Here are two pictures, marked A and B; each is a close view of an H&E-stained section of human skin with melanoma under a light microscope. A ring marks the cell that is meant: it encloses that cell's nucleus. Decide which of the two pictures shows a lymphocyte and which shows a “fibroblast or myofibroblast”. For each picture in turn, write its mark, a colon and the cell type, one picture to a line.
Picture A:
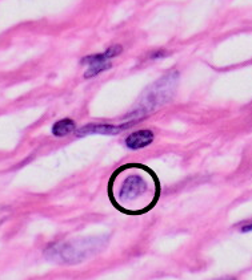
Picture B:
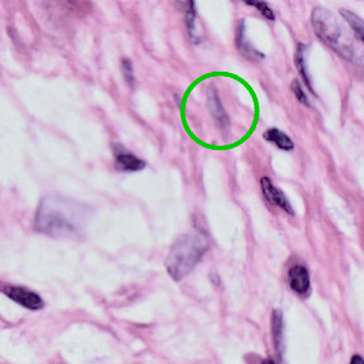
A: lymphocyte
B: fibroblast or myofibroblast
